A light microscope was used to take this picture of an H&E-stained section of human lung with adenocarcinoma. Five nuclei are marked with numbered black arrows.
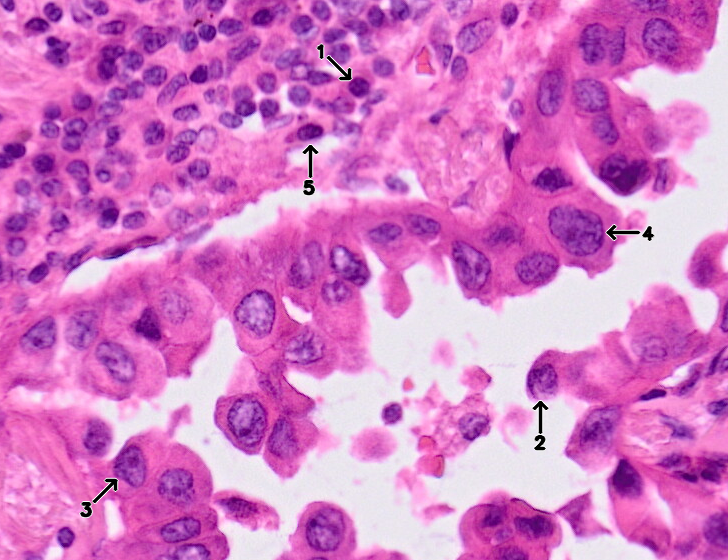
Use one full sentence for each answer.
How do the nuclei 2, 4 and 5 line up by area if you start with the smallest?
By area, going up from the smallest, they rank 5, 2, 4.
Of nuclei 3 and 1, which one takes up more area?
It is nucleus 3, which covers about 3 times the area of nucleus 1.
